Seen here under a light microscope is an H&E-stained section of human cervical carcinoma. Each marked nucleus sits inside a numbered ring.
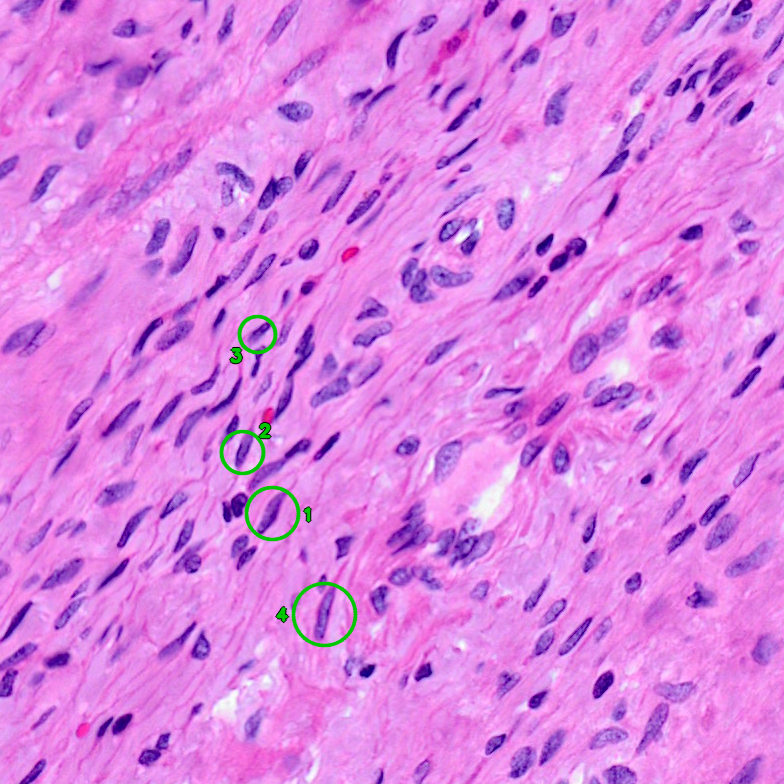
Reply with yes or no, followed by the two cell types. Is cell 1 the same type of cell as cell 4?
No, in contrast to cell 4, which is a smooth muscle cell, cell 1 is a fibroblast.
